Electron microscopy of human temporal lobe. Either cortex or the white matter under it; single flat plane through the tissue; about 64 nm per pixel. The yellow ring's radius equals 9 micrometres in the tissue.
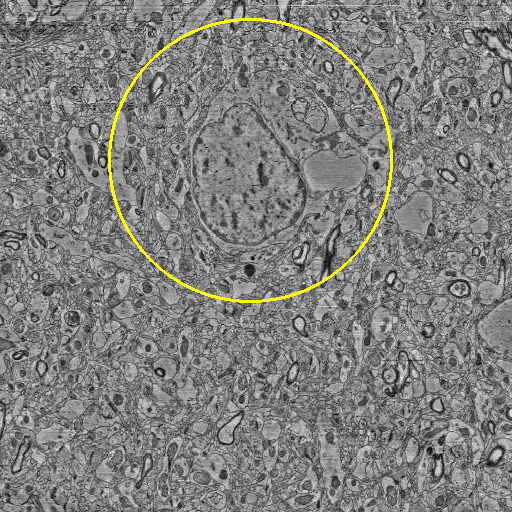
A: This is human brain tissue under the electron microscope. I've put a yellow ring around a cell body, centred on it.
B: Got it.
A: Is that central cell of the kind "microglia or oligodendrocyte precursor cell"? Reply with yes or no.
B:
yes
